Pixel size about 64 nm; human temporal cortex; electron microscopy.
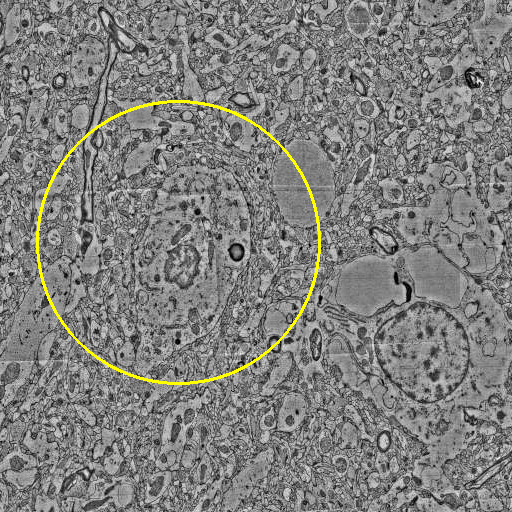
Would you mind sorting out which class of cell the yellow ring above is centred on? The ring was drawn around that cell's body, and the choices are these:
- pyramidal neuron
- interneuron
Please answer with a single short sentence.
This is the cell body of a pyramidal neuron.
